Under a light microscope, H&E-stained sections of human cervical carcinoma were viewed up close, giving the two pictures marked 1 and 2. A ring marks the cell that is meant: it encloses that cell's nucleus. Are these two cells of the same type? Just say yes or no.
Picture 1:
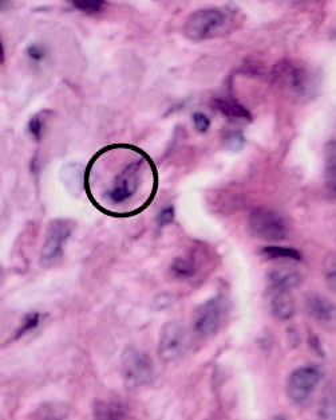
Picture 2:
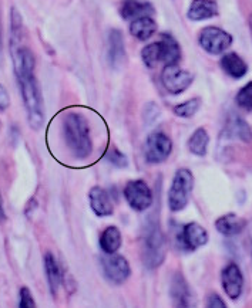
yes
